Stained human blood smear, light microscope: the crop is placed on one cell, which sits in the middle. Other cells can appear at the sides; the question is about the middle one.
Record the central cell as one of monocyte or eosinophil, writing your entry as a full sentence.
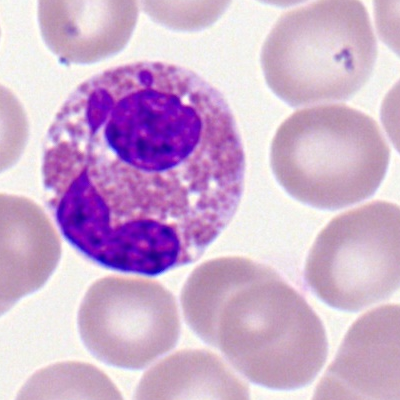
Located at the centre of the crop is an eosinophil.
